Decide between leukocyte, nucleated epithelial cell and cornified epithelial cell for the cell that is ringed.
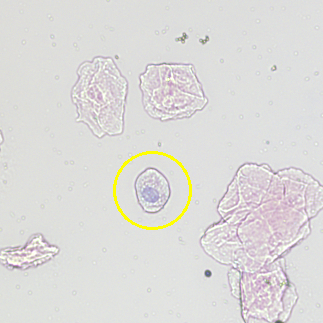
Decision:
I take the ringed cell for a nucleated epithelial cell.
